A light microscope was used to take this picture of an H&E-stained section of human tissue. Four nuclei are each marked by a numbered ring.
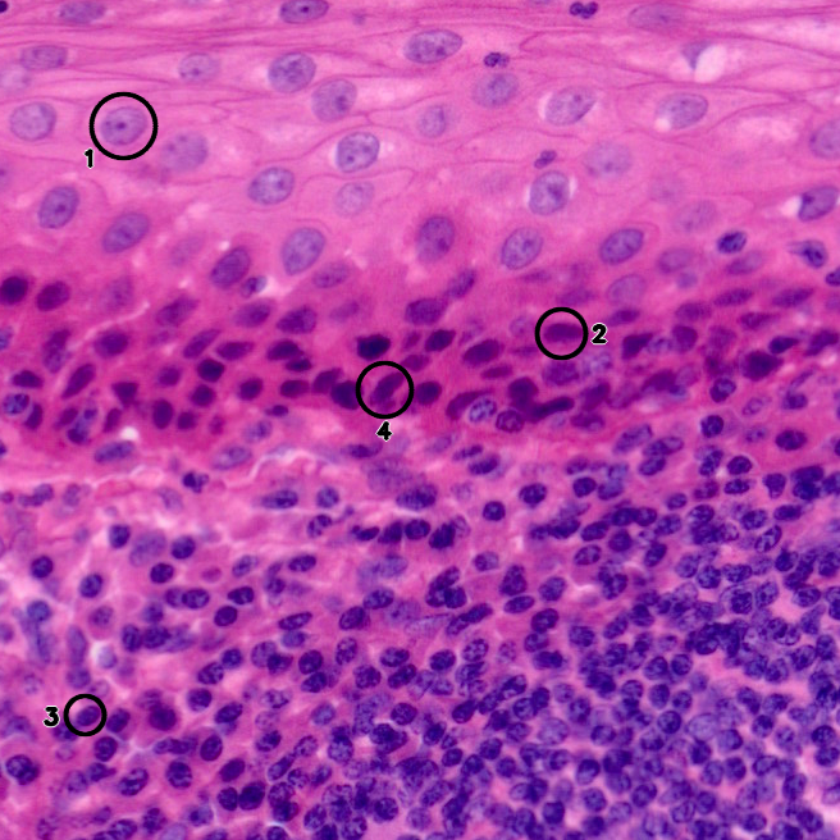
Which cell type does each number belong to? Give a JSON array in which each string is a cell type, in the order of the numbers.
["squamous epithelial cell", "squamous epithelial cell", "plasma cell", "squamous epithelial cell"]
